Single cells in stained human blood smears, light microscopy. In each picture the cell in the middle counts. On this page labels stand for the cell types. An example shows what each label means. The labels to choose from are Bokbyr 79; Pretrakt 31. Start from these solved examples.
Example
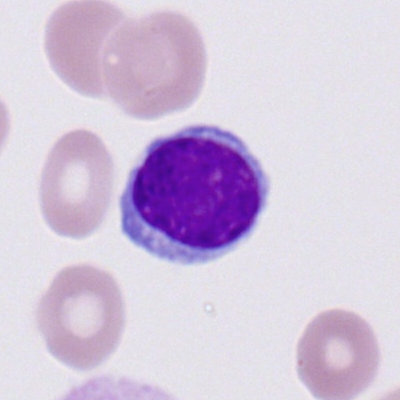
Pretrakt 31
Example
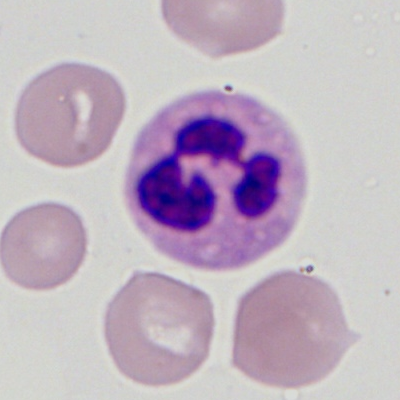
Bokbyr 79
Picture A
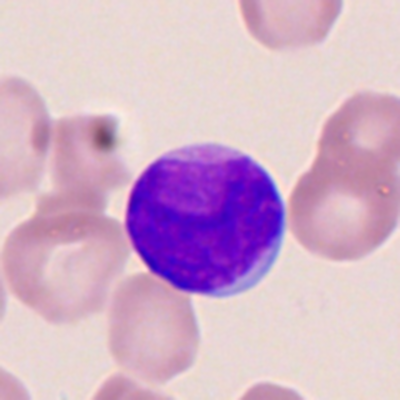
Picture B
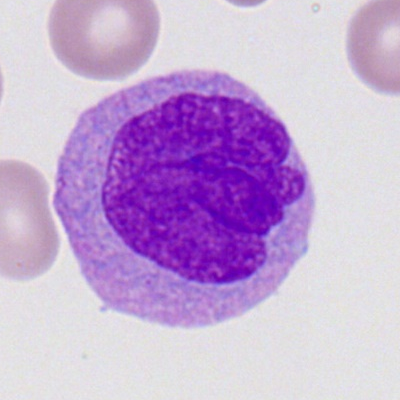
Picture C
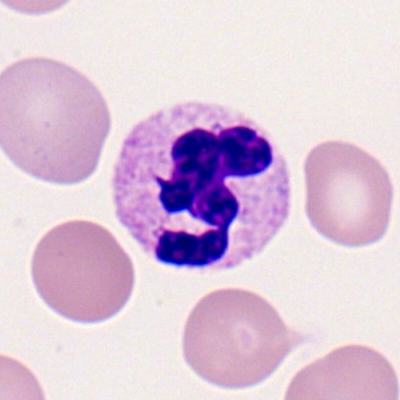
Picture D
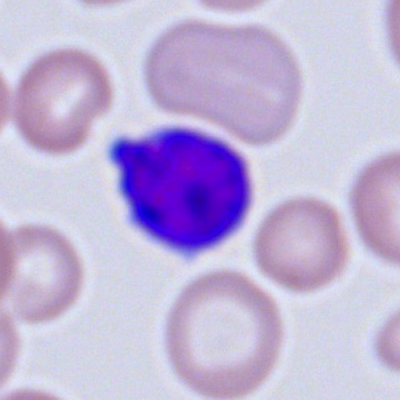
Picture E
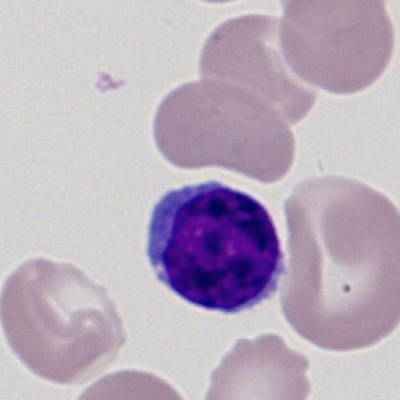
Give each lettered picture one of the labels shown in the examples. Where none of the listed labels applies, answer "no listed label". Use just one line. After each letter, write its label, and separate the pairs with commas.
A no listed label, B no listed label, C Bokbyr 79, D Pretrakt 31, E Pretrakt 31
